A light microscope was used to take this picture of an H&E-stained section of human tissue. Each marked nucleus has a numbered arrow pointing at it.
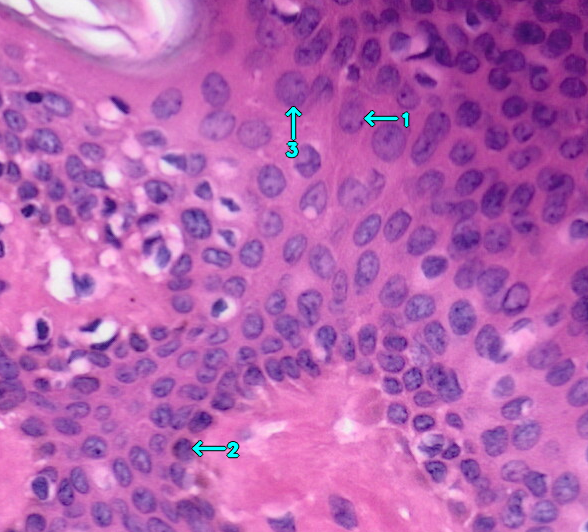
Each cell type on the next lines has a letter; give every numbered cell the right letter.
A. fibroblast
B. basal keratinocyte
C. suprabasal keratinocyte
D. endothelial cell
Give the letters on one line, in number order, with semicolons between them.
C; B; C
